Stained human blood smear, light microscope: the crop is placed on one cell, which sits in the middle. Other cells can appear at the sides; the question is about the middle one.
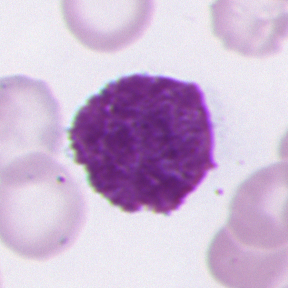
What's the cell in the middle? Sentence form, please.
As for the central cell, it is a smudge cell.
